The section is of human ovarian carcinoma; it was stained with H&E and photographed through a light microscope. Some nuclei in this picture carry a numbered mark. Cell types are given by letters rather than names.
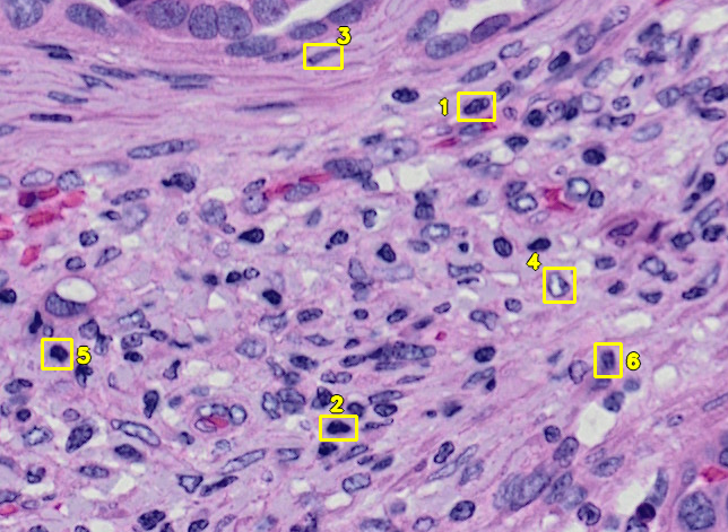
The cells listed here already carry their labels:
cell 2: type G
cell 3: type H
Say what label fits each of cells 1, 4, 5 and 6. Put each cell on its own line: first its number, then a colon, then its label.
1: type G
4: type H
5: type G
6: type G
